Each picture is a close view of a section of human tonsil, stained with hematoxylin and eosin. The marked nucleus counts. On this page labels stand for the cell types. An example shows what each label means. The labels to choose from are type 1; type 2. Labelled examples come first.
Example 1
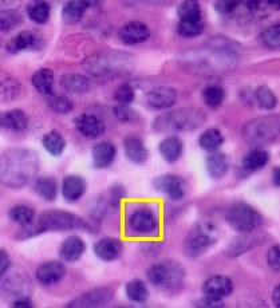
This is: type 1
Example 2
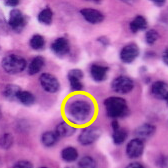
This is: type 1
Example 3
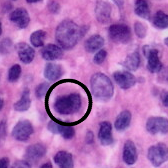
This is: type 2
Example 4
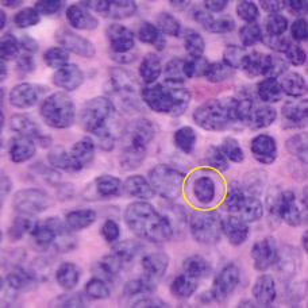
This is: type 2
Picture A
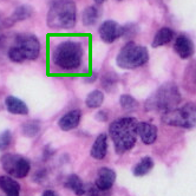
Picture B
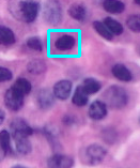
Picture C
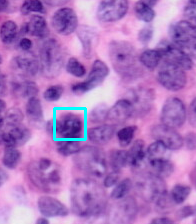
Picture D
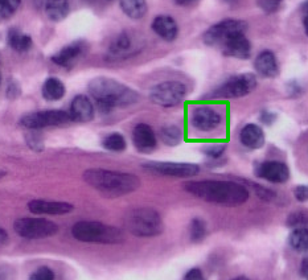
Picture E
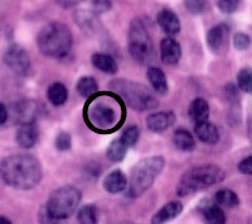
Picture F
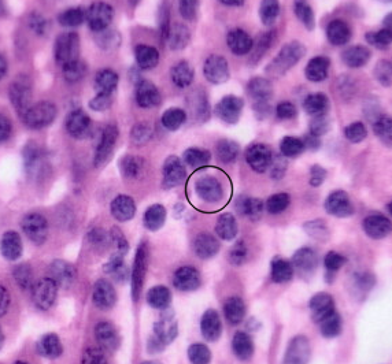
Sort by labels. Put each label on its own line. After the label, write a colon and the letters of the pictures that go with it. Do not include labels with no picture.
type 1: B, D, E, F
type 2: A, C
